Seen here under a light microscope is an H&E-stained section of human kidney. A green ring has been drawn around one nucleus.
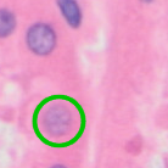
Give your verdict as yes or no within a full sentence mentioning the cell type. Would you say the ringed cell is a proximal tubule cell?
Yes, correct on this one: the ringed cell is a proximal tubule cell.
